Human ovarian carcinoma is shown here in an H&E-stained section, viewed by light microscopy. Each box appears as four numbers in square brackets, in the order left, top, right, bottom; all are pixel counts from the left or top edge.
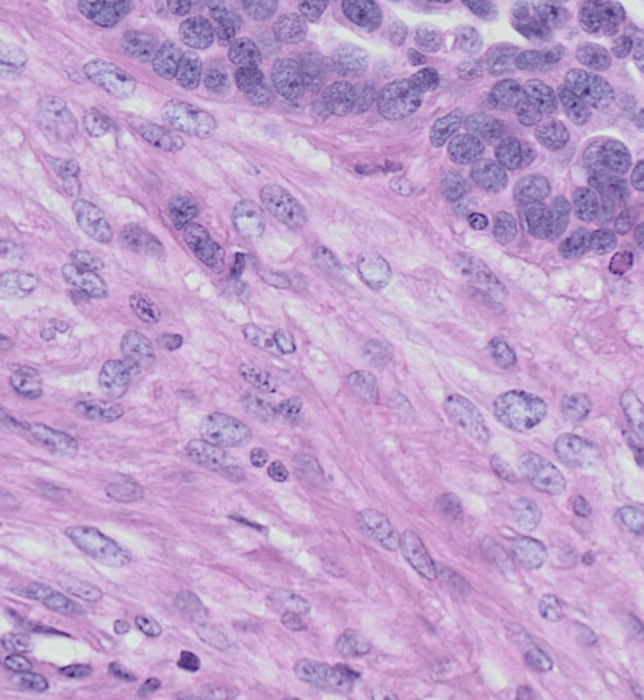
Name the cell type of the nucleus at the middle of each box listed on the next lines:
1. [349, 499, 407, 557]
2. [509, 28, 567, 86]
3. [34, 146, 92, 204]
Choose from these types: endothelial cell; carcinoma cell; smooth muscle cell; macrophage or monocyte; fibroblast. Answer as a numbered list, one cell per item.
1. fibroblast
2. carcinoma cell
3. fibroblast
